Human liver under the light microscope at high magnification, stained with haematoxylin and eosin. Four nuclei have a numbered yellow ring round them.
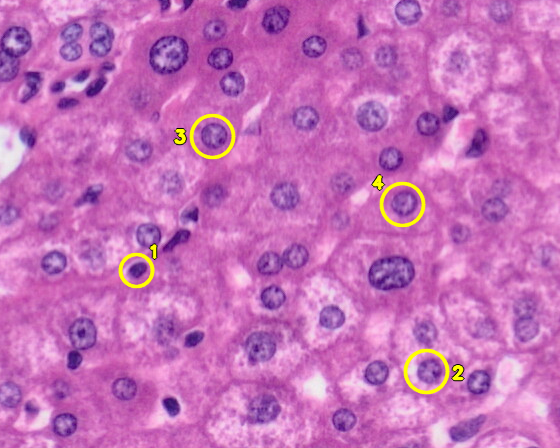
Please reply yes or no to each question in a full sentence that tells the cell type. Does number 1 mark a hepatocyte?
No, in terms of cell type, cell 1 is a lymphocyte, not a hepatocyte.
